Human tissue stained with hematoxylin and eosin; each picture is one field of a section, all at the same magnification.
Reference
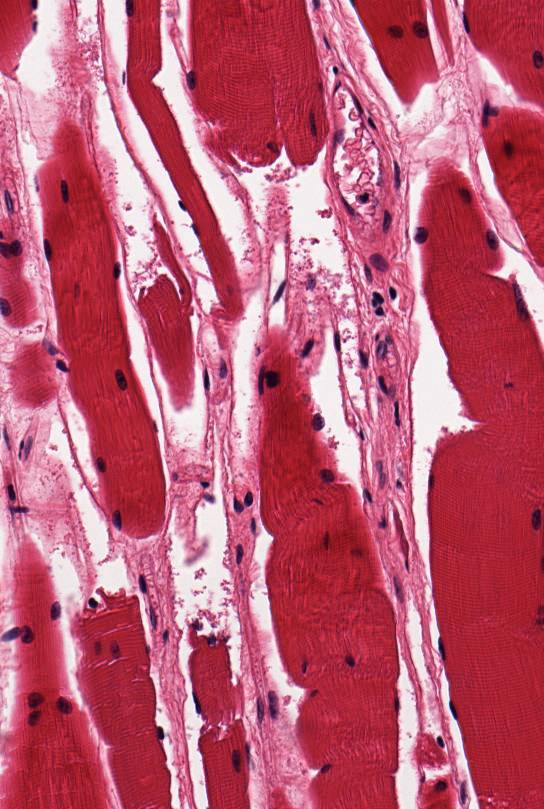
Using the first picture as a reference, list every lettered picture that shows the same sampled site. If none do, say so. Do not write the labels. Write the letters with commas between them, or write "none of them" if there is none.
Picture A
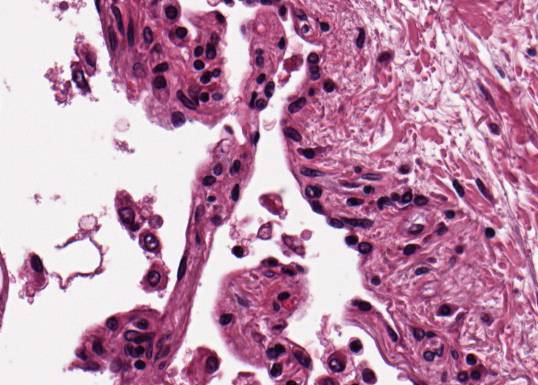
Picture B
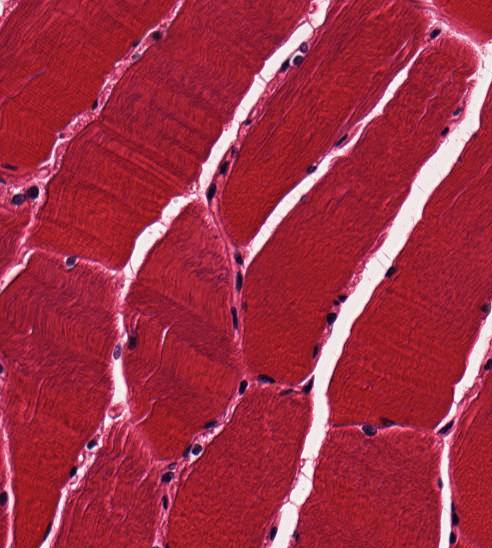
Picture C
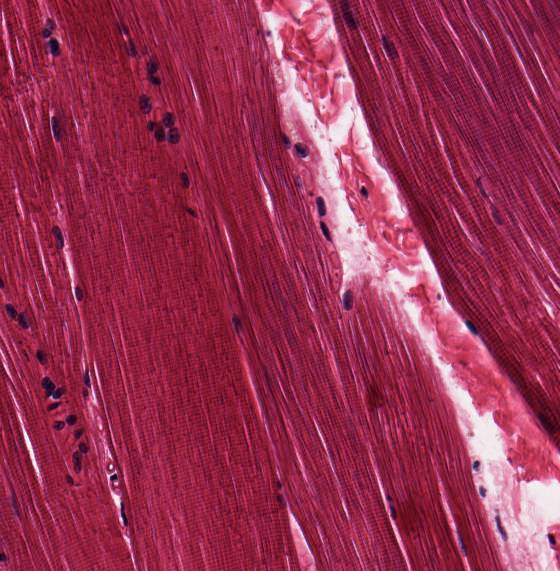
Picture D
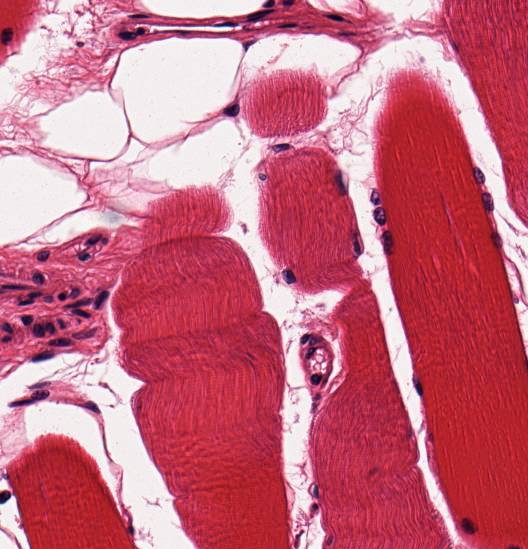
B, C, D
